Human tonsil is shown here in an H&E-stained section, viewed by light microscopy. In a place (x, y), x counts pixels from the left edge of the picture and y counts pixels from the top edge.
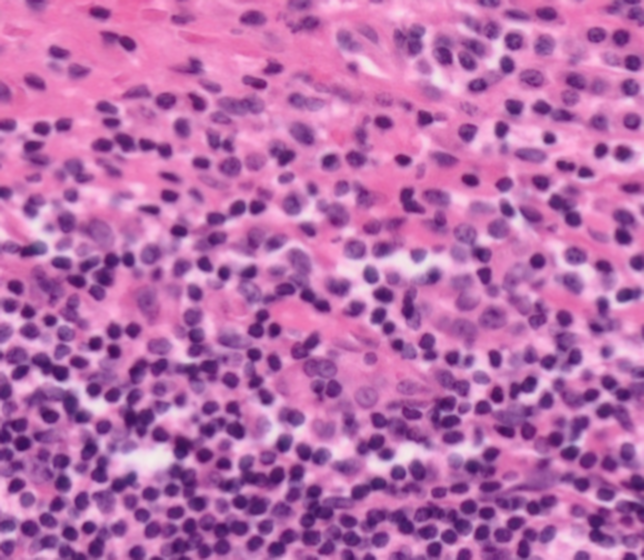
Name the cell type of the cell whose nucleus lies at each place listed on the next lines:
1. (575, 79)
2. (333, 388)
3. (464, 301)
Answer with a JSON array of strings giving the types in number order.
["plasma cell", "endothelial cell", "endothelial cell"]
